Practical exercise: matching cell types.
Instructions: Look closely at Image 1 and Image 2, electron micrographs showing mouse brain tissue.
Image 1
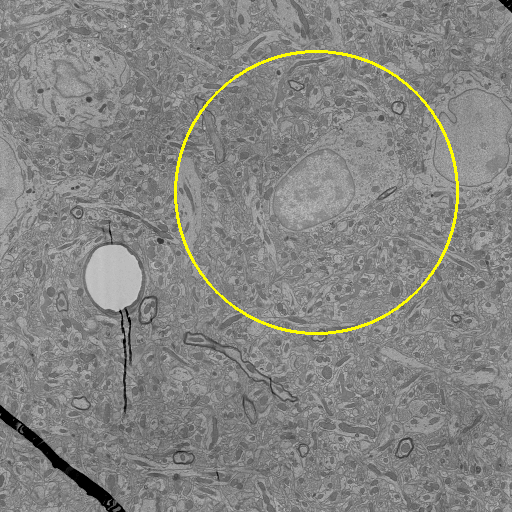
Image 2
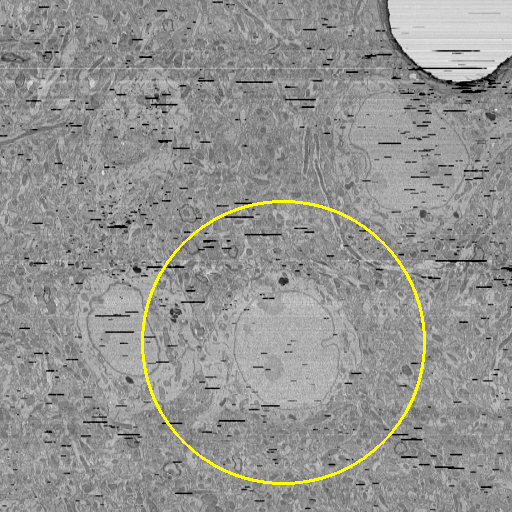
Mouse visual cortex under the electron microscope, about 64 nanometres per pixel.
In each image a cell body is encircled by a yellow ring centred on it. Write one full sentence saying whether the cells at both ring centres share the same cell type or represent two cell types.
Across Image 1 and Image 2, the cells at the ring centres represent two cell types.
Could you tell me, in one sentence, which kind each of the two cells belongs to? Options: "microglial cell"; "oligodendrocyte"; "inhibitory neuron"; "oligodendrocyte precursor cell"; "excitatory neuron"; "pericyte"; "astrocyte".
At the centre of the first ring sits an oligodendrocyte, and at the centre of the second sits an excitatory neuron.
